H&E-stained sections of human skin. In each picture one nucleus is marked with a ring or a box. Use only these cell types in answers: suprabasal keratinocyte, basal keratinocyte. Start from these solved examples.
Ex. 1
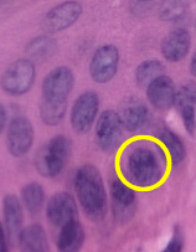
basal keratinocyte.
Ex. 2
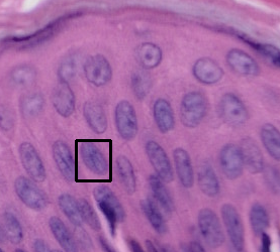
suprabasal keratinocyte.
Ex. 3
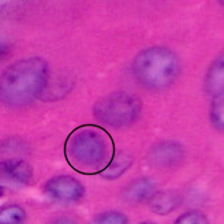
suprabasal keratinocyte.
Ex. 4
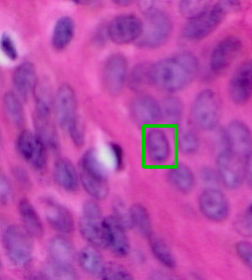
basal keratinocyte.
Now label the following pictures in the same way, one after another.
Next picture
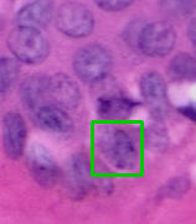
basal keratinocyte.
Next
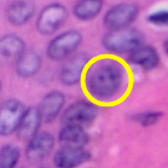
basal keratinocyte.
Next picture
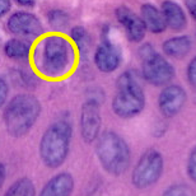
basal keratinocyte.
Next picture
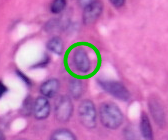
basal keratinocyte.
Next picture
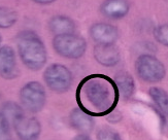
basal keratinocyte.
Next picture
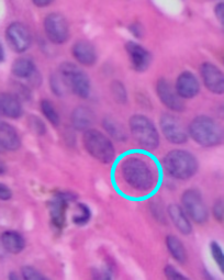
basal keratinocyte.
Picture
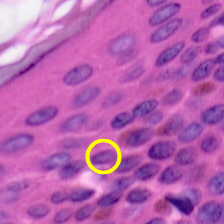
basal keratinocyte.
